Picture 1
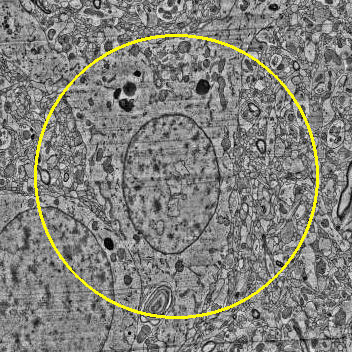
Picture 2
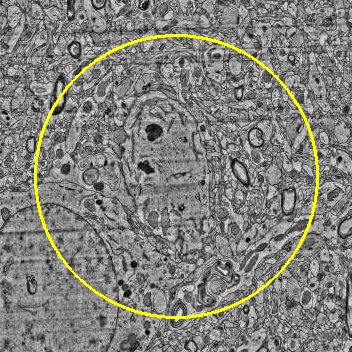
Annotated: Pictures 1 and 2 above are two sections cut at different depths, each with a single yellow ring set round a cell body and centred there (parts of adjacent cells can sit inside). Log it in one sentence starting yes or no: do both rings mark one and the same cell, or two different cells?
Yes, the two yellow circles hold the same cell.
